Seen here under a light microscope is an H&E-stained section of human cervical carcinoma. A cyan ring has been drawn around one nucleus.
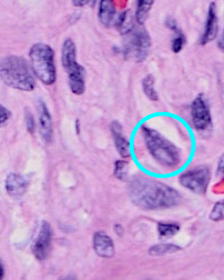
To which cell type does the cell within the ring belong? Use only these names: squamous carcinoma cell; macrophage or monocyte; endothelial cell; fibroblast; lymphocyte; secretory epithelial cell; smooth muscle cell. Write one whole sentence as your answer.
By its classification, the cell within the ring is an endothelial cell.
